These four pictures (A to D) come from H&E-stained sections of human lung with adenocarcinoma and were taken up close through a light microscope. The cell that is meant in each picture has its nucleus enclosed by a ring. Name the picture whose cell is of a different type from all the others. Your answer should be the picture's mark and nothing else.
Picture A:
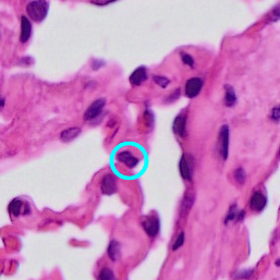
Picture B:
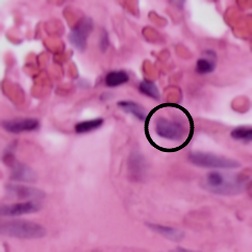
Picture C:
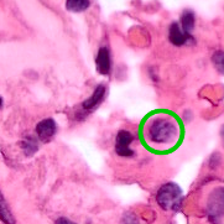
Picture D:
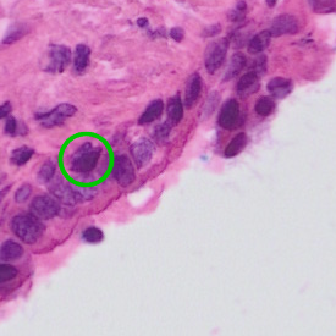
D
